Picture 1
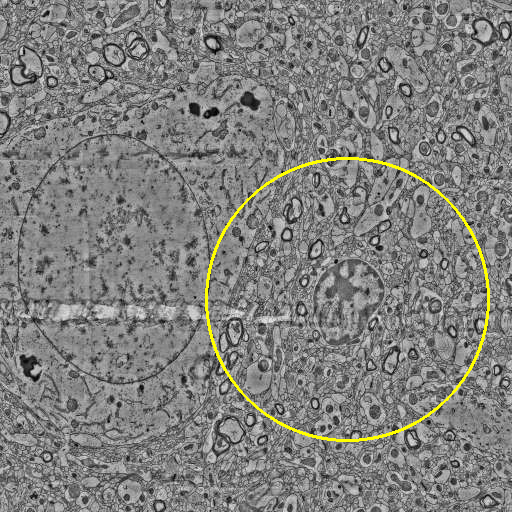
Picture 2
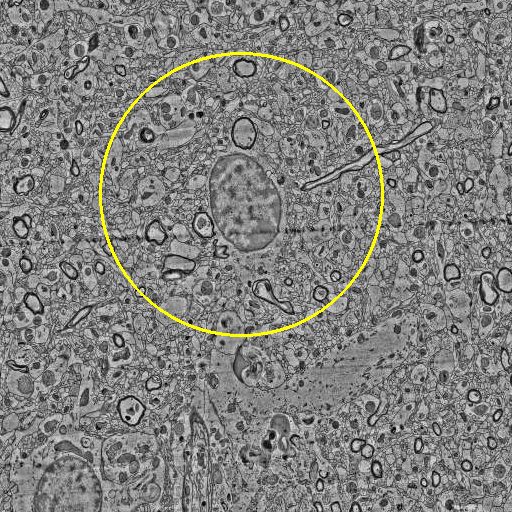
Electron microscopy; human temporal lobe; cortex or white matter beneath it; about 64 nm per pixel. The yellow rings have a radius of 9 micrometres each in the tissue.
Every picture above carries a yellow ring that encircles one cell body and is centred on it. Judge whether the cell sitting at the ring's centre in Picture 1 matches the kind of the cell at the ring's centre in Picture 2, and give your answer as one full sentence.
No, the cells centred in the rings of Pictures 1 and 2 belong to two kinds.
